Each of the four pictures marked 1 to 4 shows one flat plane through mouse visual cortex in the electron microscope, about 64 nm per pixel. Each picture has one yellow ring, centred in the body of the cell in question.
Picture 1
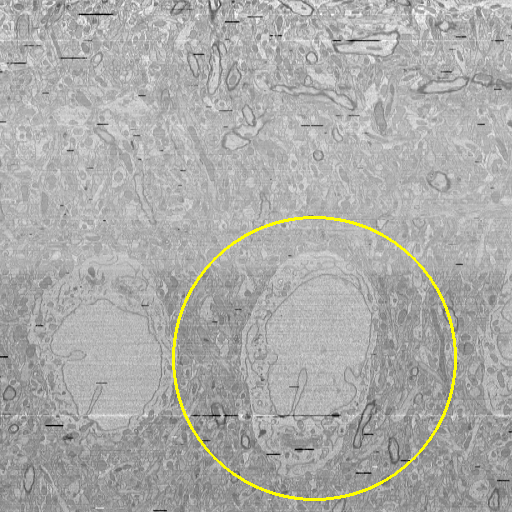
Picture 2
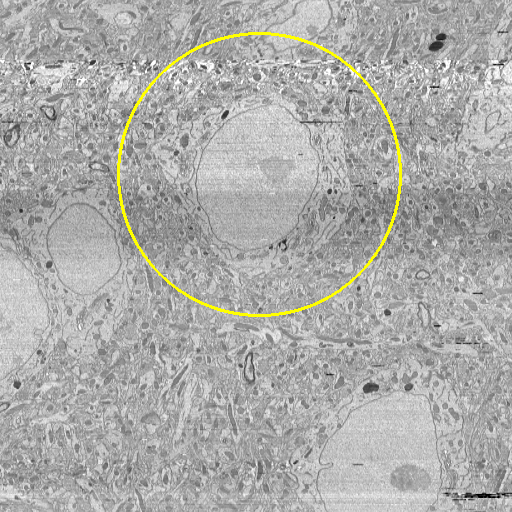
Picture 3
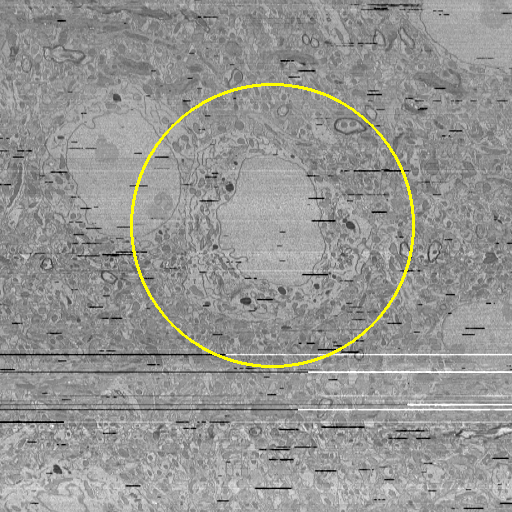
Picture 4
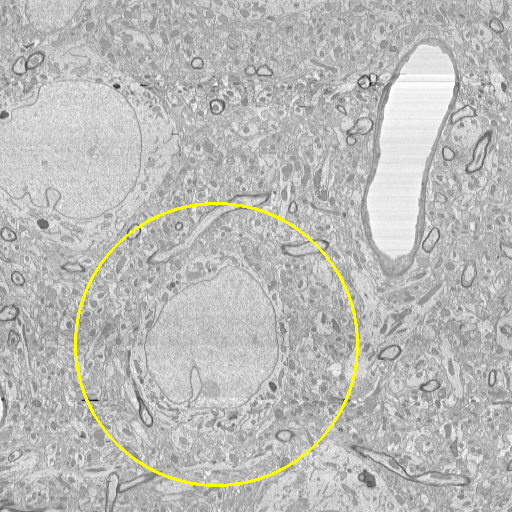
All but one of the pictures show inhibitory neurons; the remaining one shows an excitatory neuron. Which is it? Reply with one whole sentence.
It is picture 2 that shows the excitatory neuron.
